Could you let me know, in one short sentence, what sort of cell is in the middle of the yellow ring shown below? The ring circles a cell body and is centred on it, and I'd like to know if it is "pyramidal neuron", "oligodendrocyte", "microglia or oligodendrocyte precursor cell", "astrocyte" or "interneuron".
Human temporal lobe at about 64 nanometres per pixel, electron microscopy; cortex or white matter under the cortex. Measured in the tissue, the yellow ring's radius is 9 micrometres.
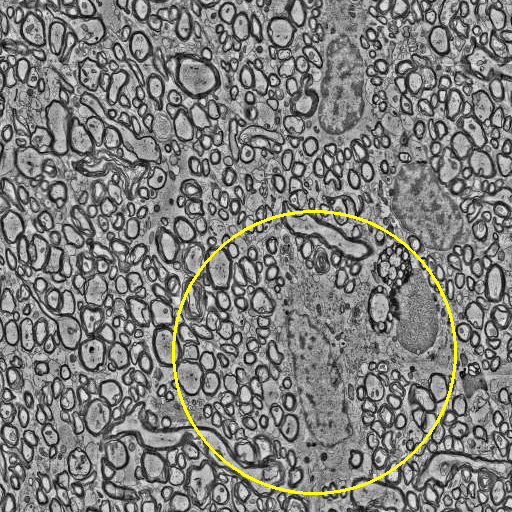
The ring circles the cell body of an astrocyte.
